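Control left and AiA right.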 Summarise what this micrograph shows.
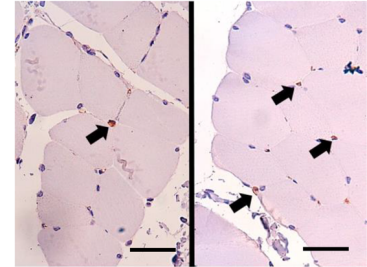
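These are cross sections of skeletal muscle fibers, polygonal and closely packed, with flattened blue nuclei at their edges and thin connective tissue between them. The arrows mark a few small nuclei at the fiber borders that stand out brown against the blue ones.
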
